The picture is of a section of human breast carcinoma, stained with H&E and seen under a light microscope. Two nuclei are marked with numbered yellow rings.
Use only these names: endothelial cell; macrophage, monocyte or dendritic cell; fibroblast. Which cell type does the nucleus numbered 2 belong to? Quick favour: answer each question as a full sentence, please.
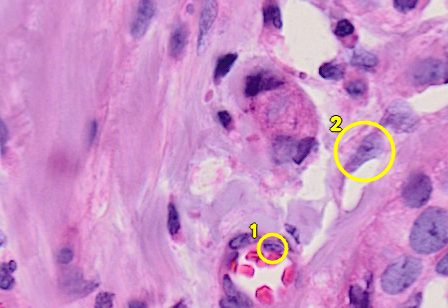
The marked cell with the number 2 is recognised as a fibroblast.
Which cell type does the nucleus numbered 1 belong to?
The numbered cell 1 is identified here as an endothelial cell.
